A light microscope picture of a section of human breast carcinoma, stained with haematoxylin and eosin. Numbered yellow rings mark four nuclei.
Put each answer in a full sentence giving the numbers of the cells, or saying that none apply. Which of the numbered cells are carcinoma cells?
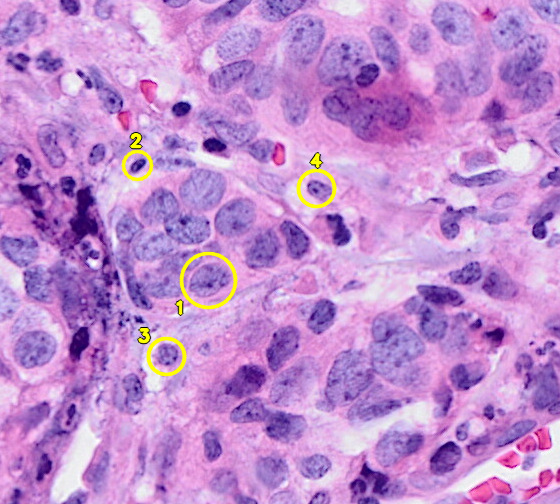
The numbered cell that is a carcinoma cell is cell 1, and it is the only one.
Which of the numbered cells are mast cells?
Response: cell 4 is a mast cell, and no other numbered cell is.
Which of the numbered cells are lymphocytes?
Where the numbered cells are concerned, only number 2 is a lymphocyte.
